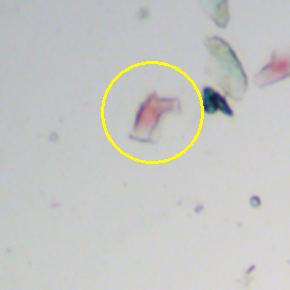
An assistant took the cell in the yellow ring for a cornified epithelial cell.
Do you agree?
I agree, it is a cornified epithelial cell.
